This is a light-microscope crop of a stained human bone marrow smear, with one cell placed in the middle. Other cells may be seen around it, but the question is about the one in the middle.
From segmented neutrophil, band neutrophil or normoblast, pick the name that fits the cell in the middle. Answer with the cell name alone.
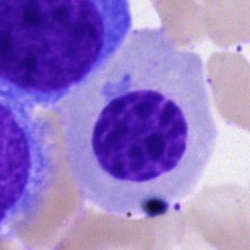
normoblast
